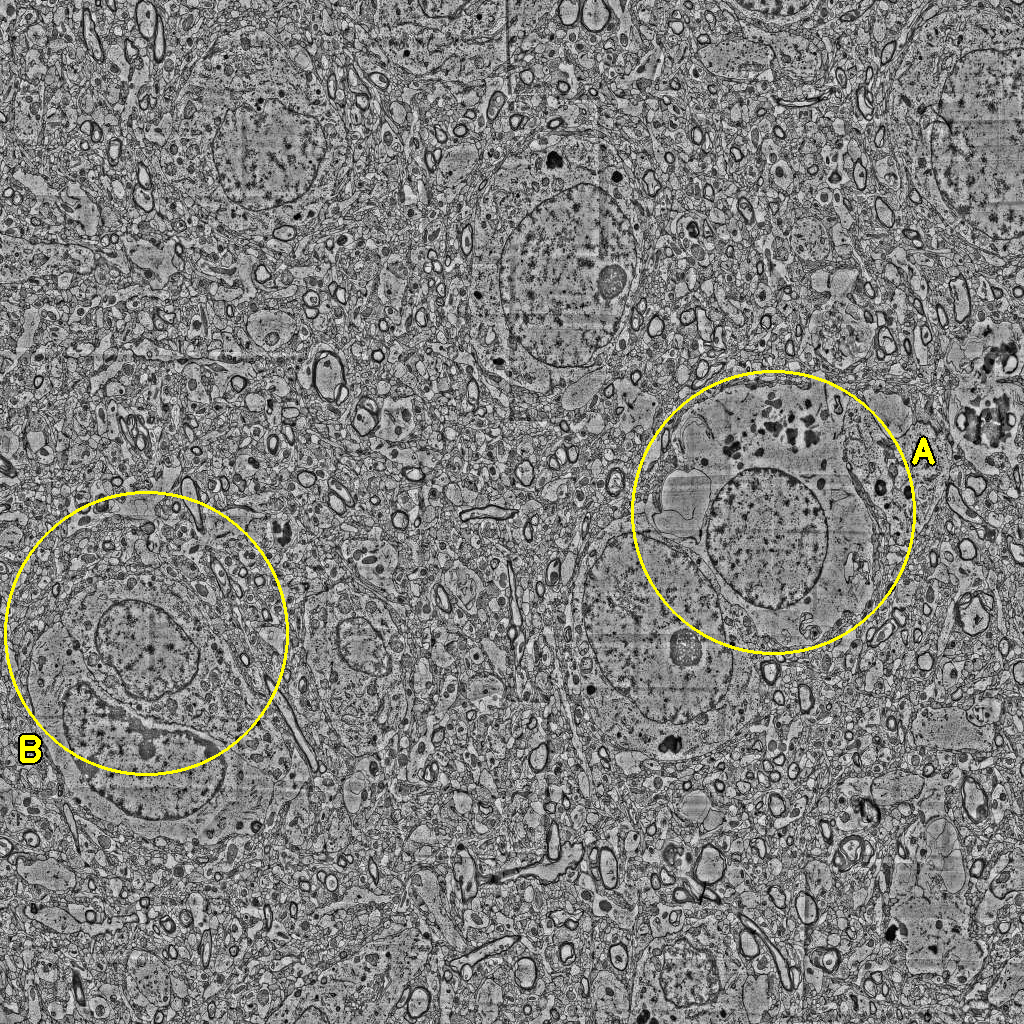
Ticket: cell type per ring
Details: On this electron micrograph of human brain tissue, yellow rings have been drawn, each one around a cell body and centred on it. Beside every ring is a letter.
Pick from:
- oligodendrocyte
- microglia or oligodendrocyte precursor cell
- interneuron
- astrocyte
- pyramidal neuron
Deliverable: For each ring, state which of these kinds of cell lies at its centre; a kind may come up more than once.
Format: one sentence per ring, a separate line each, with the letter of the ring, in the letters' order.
The cell body ringed as A belongs to an astrocyte.
The cell body ringed as B belongs to a pyramidal neuron.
